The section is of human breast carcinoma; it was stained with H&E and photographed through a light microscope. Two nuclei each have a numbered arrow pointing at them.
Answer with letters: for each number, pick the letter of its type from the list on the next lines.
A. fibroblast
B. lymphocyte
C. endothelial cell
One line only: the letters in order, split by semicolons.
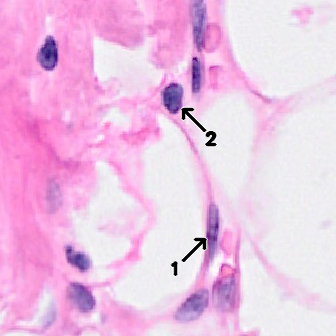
C; B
